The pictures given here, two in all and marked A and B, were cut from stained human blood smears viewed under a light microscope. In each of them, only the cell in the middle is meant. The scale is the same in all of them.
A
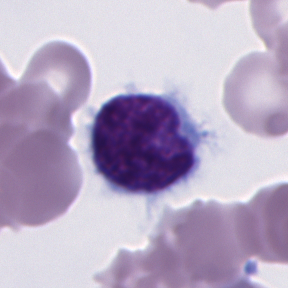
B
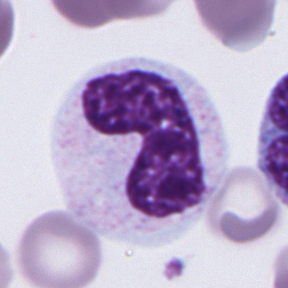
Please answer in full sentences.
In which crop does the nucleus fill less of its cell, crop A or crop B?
It is the cell in crop B that is filled less by its nucleus.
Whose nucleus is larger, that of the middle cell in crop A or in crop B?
Larger is the nucleus in crop B, at roughly 1.5 times the area of the other.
